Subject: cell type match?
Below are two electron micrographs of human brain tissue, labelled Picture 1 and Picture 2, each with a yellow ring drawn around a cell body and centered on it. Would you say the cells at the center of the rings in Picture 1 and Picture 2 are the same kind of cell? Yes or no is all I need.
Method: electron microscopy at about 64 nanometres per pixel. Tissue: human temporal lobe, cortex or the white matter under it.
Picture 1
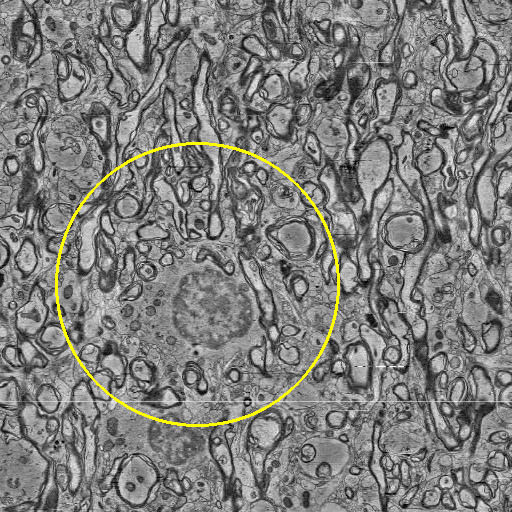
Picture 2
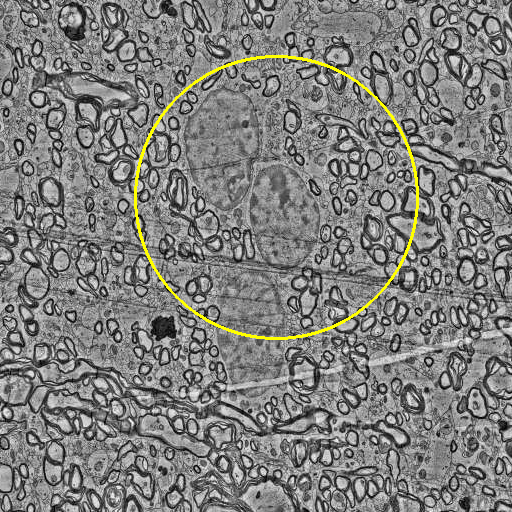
no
